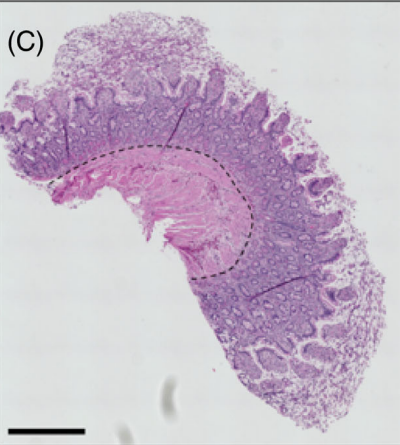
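This is a full-thickness mucosal biopsy of the small intestine cut in cross section. Toward the inner, concave side the purple glandular layer ends along a curved border, and beneath it lies a paler pink, more fibrous zone with few nuclei.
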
